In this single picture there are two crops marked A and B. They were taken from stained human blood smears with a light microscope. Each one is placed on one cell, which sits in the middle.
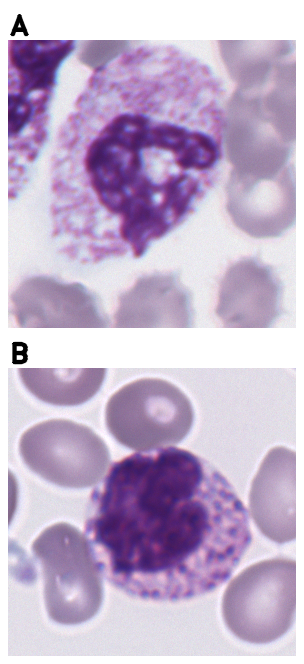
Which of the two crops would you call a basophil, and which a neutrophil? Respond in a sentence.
The cell of crop A is a neutrophil; that of crop B is a basophil.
